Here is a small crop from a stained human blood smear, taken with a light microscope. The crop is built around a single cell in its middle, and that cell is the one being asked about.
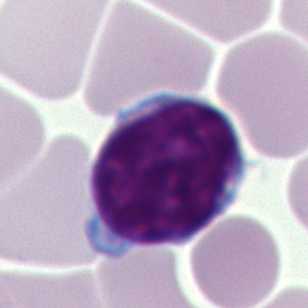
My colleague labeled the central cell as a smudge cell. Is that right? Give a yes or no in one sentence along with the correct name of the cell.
No; rather than a smudge cell, the cell at the center is a typical lymphocyte.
